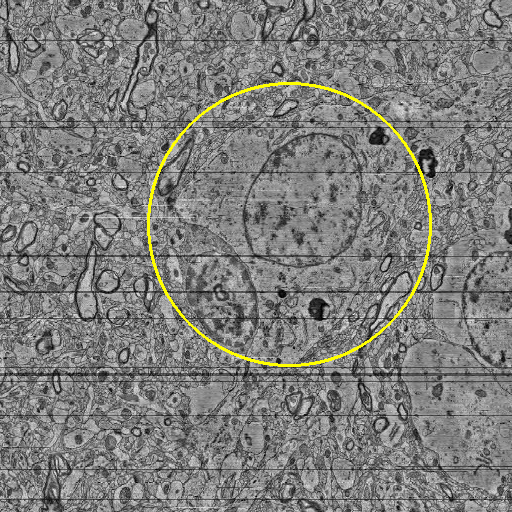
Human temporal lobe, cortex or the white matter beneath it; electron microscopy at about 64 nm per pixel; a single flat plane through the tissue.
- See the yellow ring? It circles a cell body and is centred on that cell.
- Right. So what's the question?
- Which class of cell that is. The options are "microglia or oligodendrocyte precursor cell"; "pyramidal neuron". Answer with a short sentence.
The centre of the ring holds a pyramidal neuron.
